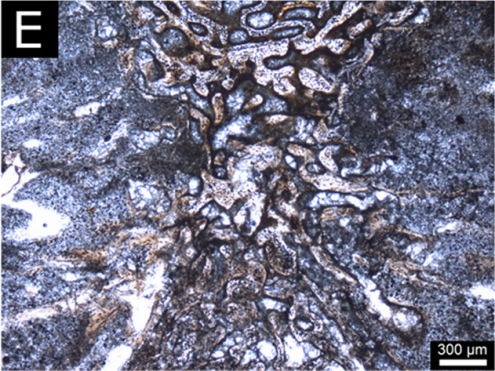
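A central network of thin brown bony trabeculae radiates outward from the middle of the field, enclosing small rounded spaces. On either side lies a grey, finely granular matrix with scattered elongated white spaces, and no open central canal is seen.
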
